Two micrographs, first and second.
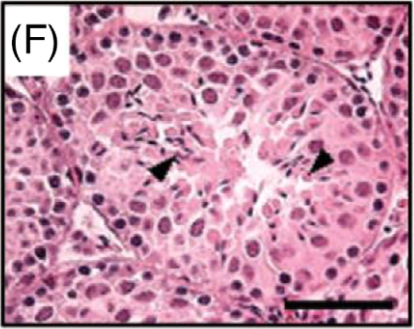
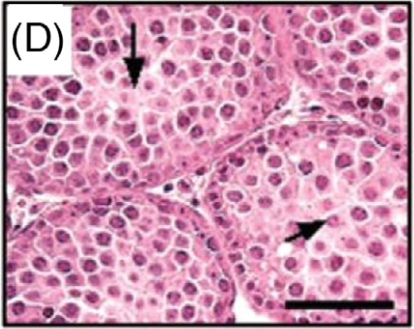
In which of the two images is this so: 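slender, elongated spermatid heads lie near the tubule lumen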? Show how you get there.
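First image: dark, slender elongated heads gather at the tubule centres. Second image: the innermost cells have round nuclei and no elongated heads are seen. So: the first image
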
